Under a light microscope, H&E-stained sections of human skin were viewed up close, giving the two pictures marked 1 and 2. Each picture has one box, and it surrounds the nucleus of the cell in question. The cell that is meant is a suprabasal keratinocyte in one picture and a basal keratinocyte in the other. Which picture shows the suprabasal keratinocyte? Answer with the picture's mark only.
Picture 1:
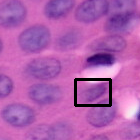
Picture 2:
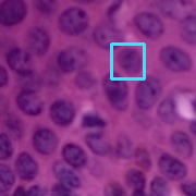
2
